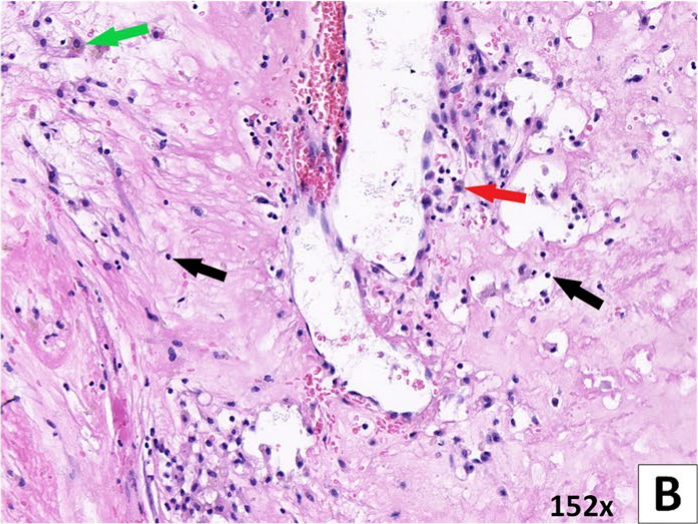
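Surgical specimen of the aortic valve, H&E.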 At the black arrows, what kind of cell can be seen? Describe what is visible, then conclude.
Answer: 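Small round cells with a dense, dark purple nucleus. Very little cytoplasm around the nucleus. Scattered singly in loose pink matrix. The answer: lymphocyte.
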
